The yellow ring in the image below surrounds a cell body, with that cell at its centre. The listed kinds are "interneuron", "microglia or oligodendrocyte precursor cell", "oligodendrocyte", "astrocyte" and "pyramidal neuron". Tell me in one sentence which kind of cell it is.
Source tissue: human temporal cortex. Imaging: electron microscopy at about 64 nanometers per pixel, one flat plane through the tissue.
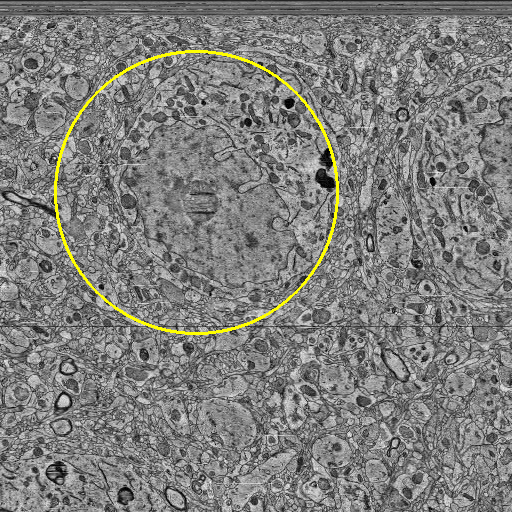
The centre of the ring holds an interneuron.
